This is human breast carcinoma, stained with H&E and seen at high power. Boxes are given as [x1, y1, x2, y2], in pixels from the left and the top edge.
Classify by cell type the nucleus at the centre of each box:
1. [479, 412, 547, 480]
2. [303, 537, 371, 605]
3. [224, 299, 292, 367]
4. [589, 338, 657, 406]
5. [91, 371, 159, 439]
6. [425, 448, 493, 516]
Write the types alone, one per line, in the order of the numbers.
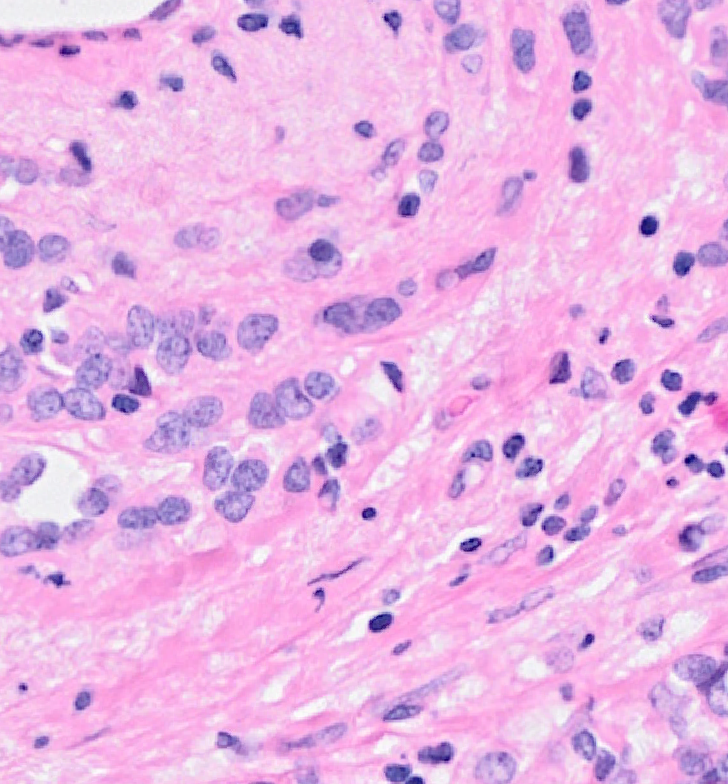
lymphocyte
fibroblast
carcinoma cell
lymphocyte
lymphocyte
endothelial cell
